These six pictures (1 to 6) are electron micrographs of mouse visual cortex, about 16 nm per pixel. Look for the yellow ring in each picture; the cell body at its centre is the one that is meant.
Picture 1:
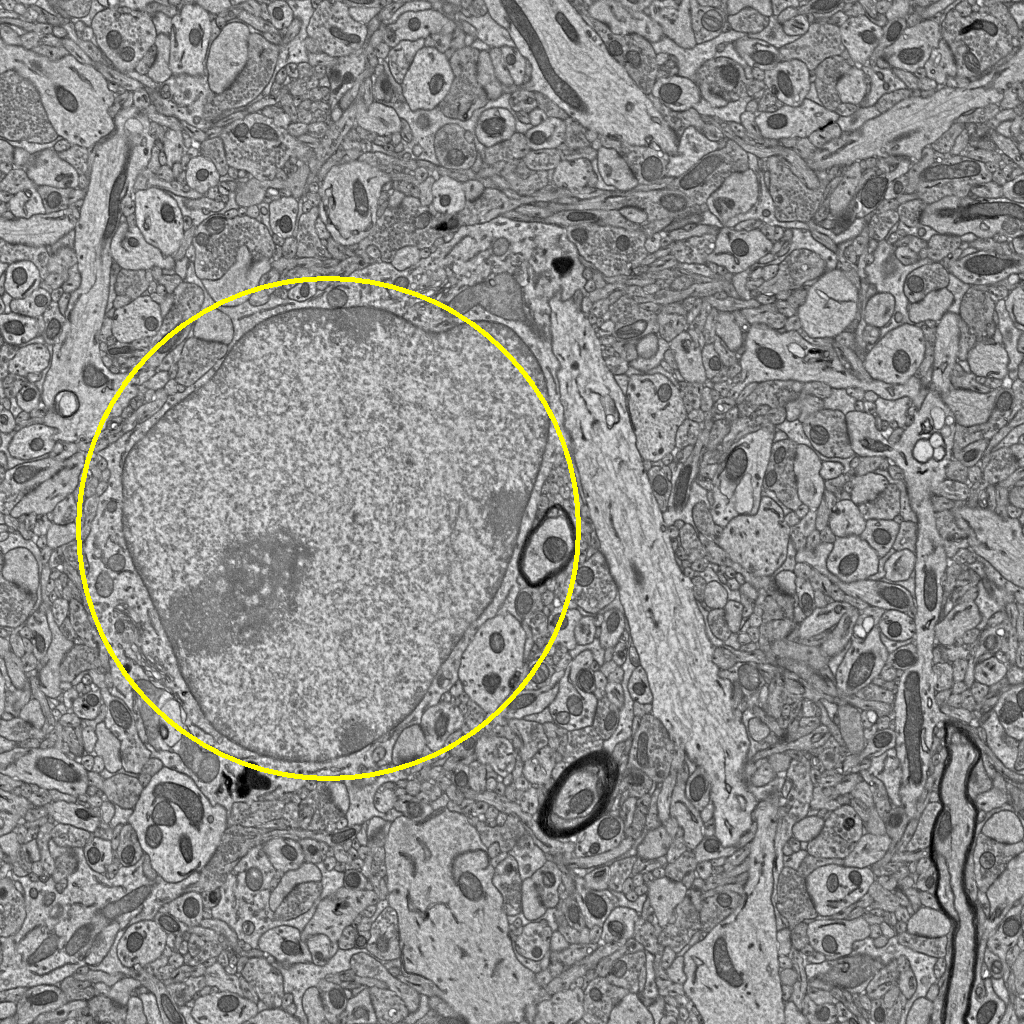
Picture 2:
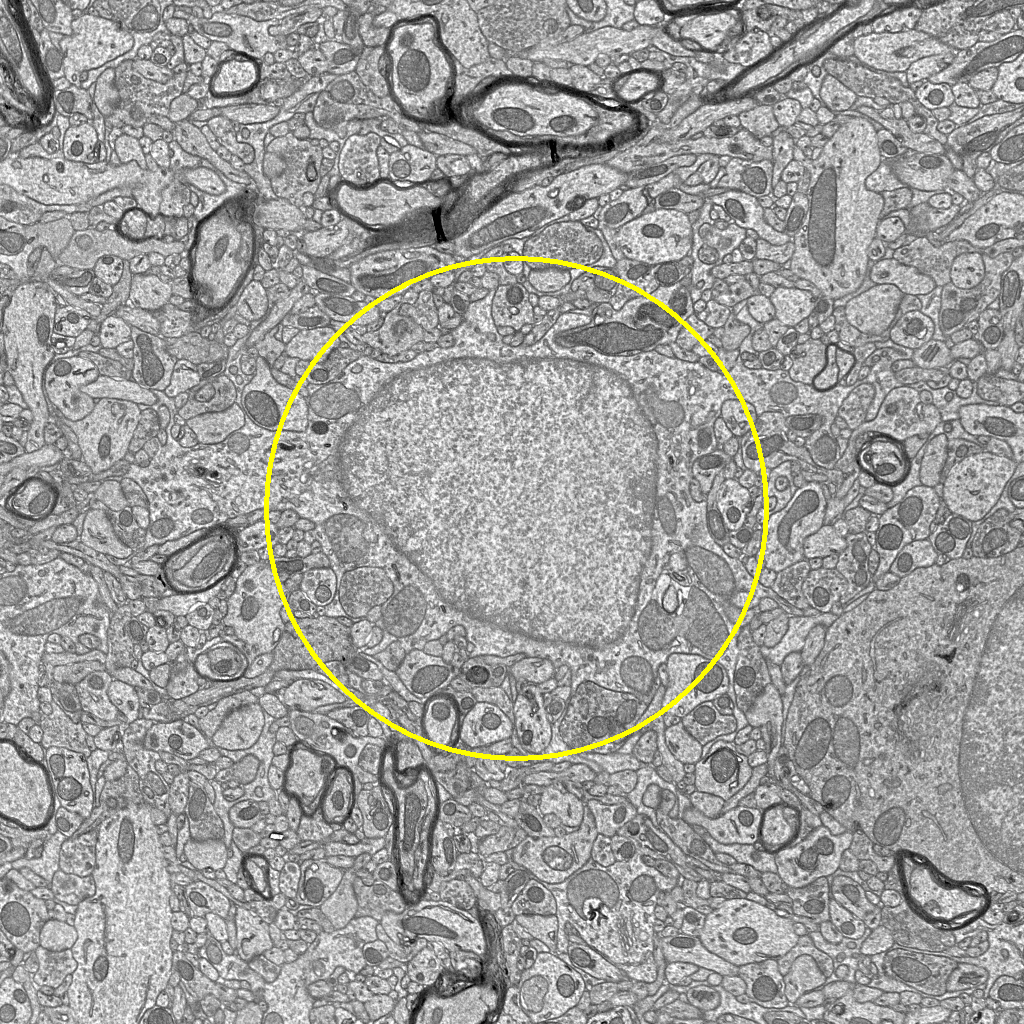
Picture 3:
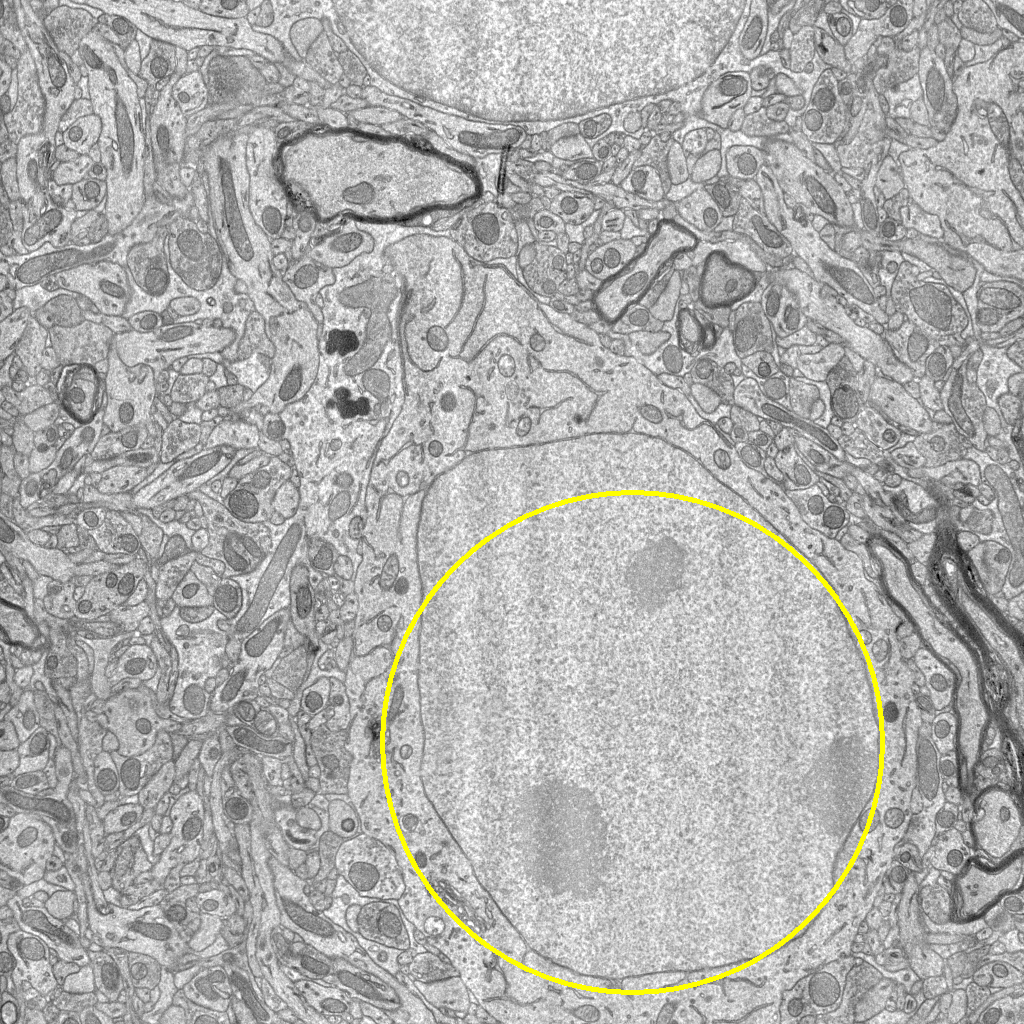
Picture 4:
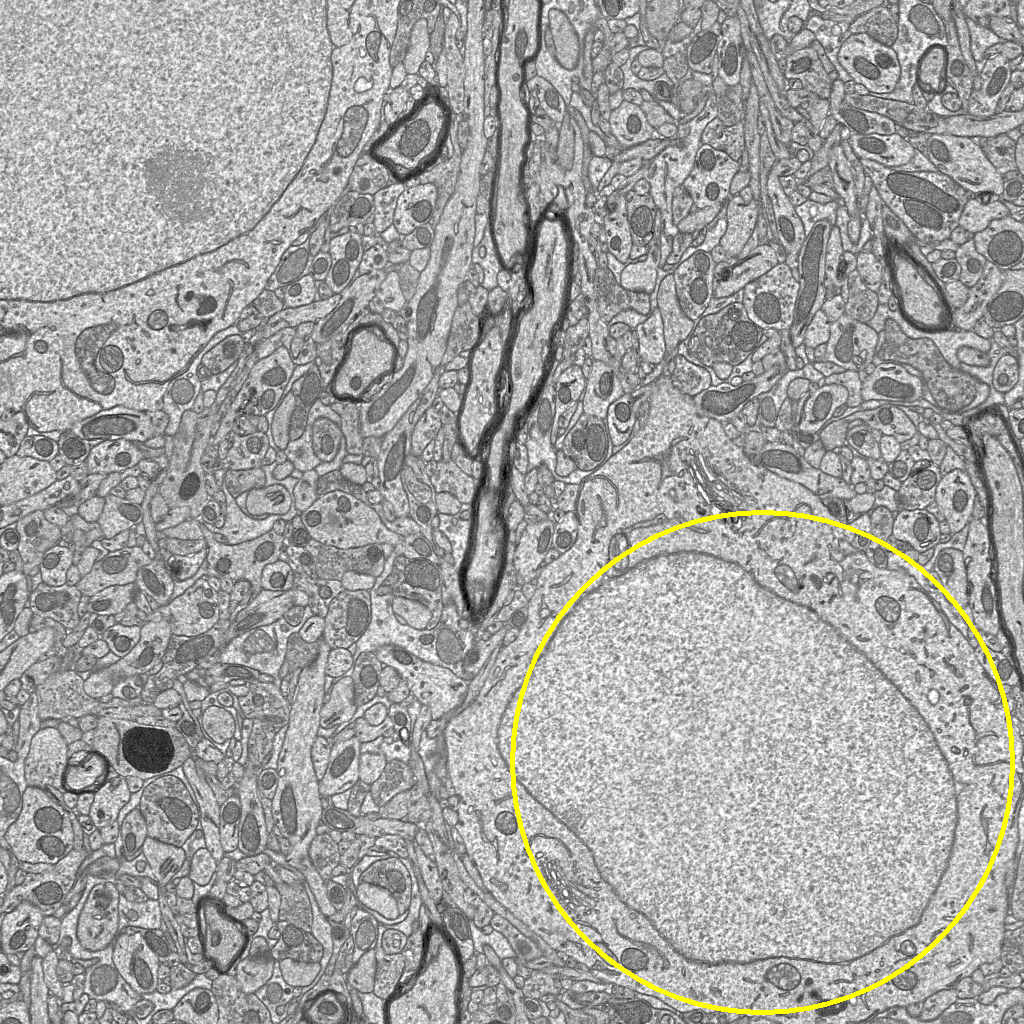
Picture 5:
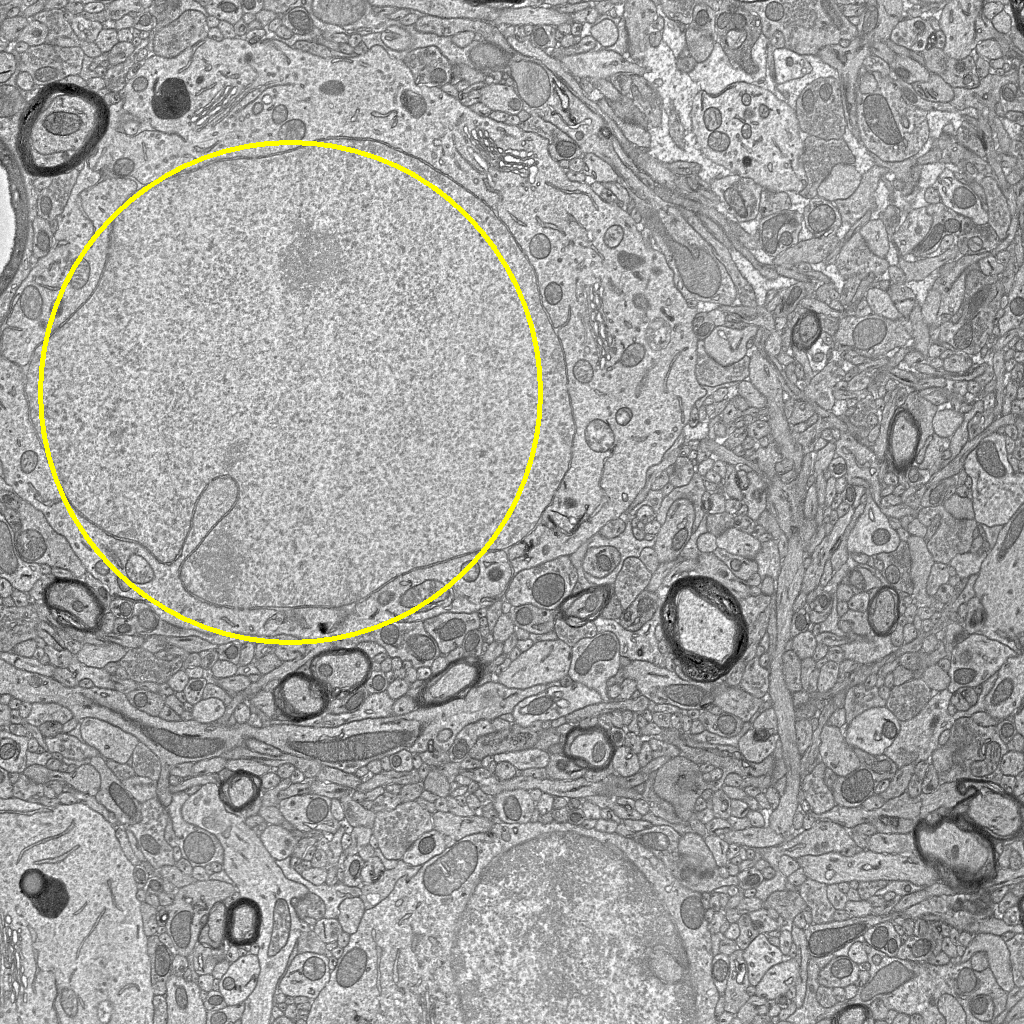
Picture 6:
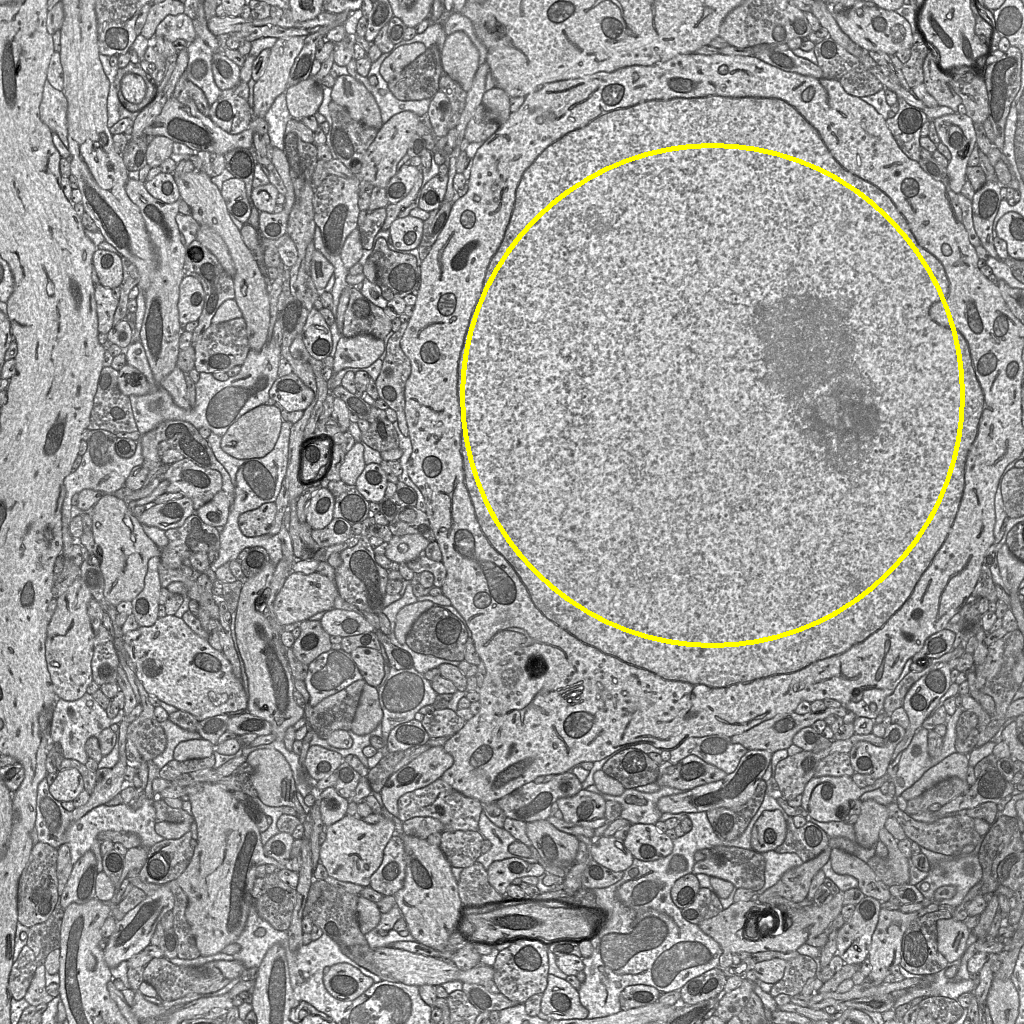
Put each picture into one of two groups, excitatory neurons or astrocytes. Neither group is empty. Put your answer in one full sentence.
Pictures 3, 4, 5 and 6 show excitatory neurons, while pictures 1 and 2 show astrocytes.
